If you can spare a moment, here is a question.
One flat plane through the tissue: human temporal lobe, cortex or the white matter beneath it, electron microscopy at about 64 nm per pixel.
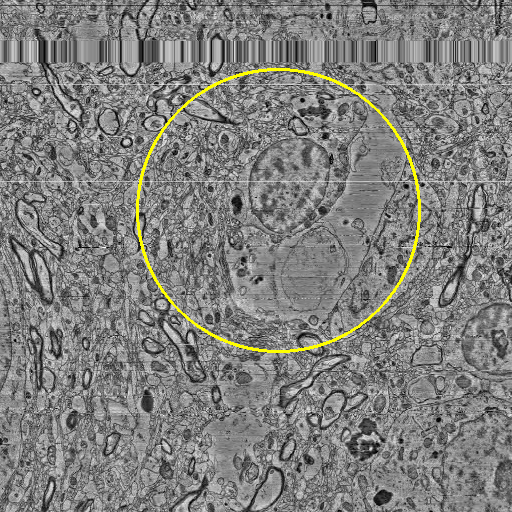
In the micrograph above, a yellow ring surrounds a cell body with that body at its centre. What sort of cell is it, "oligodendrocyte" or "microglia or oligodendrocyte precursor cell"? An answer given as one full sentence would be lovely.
Centred inside the yellow ring, the cell body shown belongs to an oligodendrocyte in this micrograph.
